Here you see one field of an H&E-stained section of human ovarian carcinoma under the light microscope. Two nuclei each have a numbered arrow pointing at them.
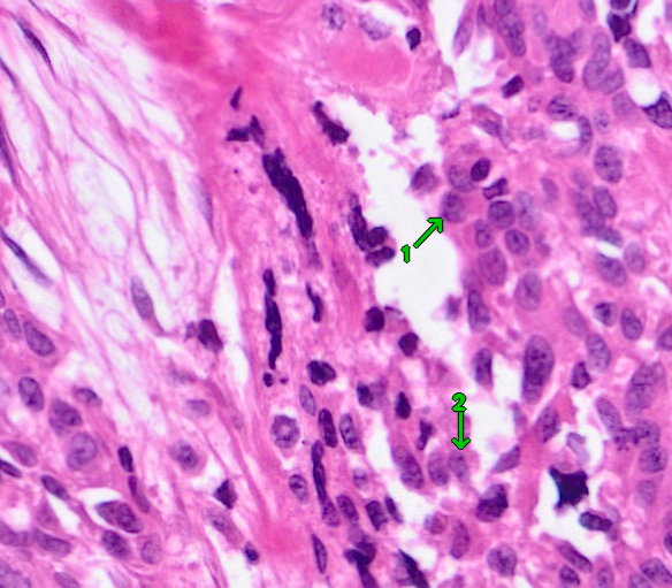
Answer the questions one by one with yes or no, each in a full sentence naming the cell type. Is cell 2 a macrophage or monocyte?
Yes. The cell carrying number 2 is a macrophage or monocyte.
